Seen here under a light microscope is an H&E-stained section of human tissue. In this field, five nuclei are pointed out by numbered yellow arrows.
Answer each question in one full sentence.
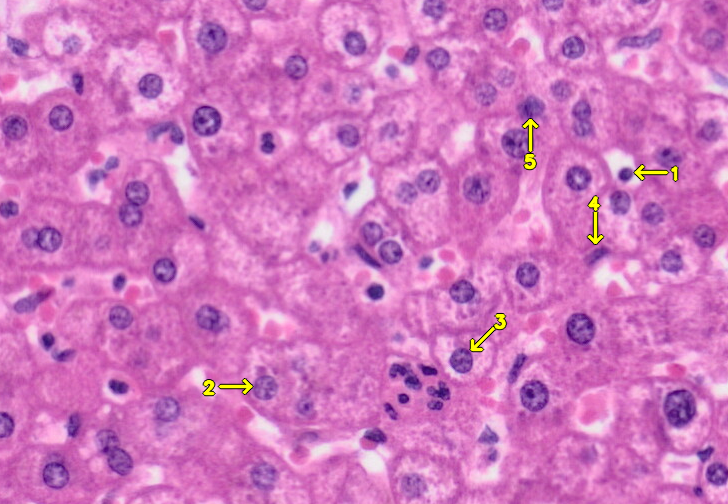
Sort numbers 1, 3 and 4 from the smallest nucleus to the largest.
The order from the smallest nucleus to the largest is 1, 4, 3.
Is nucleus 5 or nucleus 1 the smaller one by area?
With nucleus 5 about 2.5 times its size, nucleus 1 is the smaller of the two.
